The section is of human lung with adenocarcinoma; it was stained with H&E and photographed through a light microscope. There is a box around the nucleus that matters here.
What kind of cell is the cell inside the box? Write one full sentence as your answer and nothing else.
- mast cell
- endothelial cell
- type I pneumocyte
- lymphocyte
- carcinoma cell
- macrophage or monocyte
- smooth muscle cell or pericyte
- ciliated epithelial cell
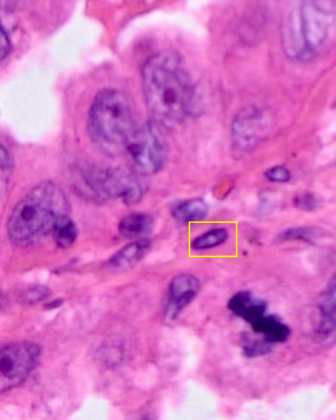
On this particular slide, the cell inside the box is a mast cell.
